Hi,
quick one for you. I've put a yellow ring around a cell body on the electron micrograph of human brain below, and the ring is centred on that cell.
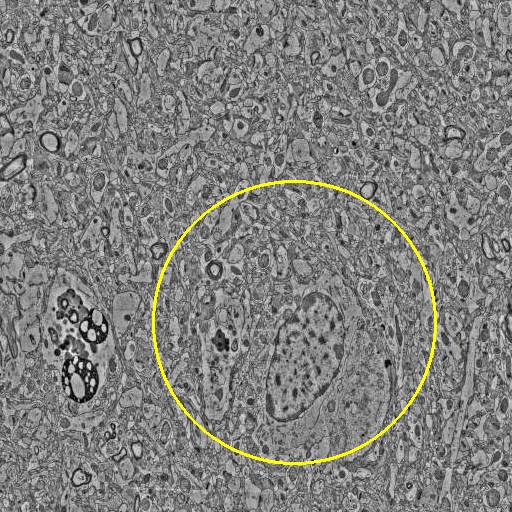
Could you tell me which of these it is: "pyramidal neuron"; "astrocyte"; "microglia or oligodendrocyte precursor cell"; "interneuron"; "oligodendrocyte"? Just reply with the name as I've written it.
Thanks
microglia or oligodendrocyte precursor cell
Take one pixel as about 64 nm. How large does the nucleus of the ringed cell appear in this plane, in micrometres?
The nucleus of the ringed cell is approximately 8 by 5 micrometres in this plane.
